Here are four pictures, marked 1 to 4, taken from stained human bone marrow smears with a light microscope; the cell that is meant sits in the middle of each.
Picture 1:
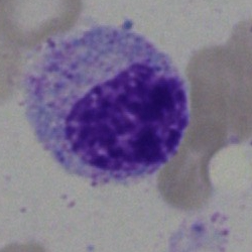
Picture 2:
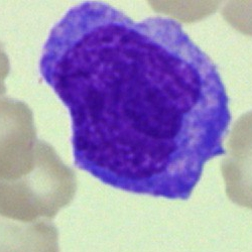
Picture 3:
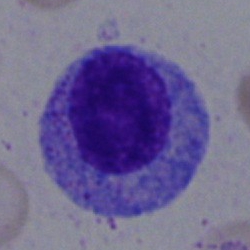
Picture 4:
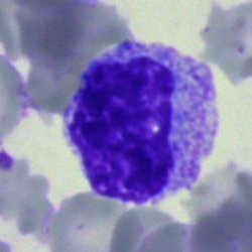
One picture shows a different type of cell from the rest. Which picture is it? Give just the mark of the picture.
2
